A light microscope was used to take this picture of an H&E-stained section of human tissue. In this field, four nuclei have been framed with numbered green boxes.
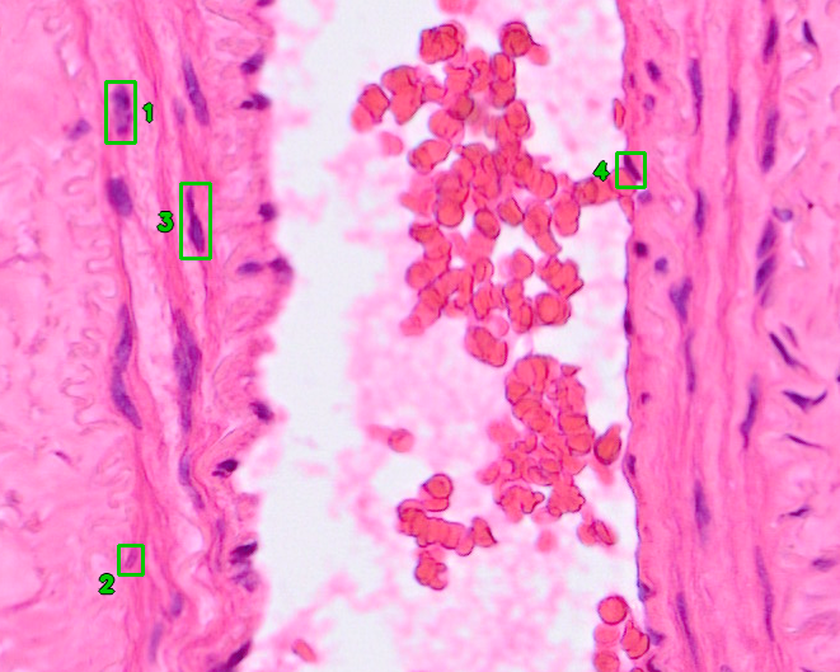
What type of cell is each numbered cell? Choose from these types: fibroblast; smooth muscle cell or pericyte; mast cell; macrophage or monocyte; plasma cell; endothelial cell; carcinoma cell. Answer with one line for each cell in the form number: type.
1: smooth muscle cell or pericyte
2: smooth muscle cell or pericyte
3: smooth muscle cell or pericyte
4: endothelial cell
